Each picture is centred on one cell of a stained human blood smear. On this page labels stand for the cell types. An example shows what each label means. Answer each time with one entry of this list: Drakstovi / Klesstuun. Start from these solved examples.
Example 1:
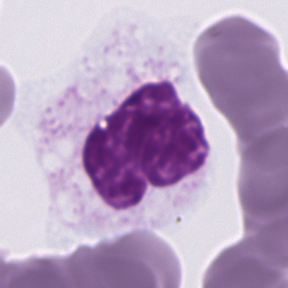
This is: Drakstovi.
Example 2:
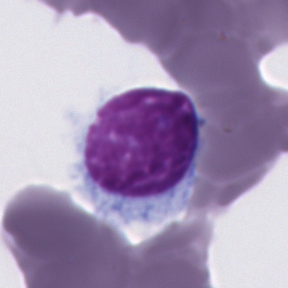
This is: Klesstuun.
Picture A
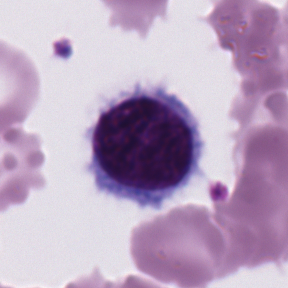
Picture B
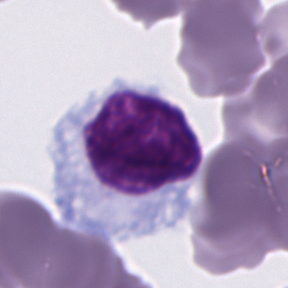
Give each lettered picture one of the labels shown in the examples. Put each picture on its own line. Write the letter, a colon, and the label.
A: Klesstuun.
B: Klesstuun.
